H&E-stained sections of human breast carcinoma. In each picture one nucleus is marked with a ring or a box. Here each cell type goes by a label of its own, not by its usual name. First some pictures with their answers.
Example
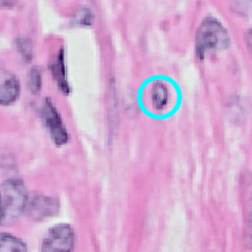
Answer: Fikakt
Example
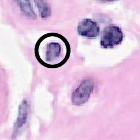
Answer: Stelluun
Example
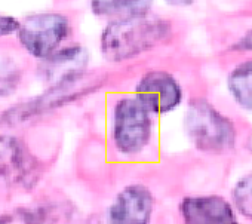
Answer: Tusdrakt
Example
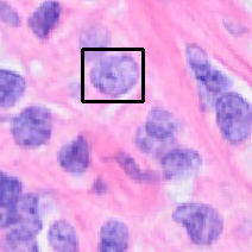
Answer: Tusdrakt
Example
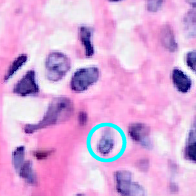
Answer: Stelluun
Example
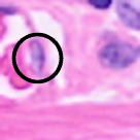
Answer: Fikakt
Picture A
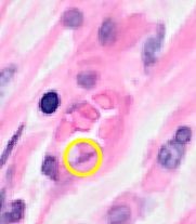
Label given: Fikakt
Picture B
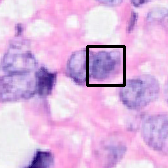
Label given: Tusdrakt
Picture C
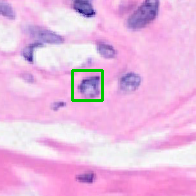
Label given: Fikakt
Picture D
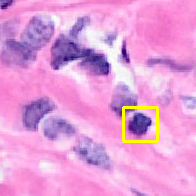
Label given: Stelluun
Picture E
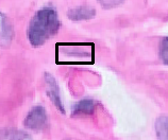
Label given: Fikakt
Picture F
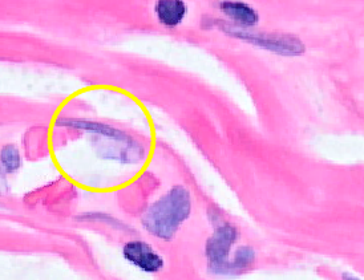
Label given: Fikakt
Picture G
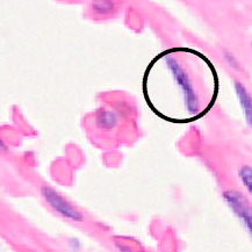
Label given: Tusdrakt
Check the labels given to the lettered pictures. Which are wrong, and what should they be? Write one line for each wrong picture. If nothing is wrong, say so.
Wrong: G (Tusdrakt); correct: Fikakt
